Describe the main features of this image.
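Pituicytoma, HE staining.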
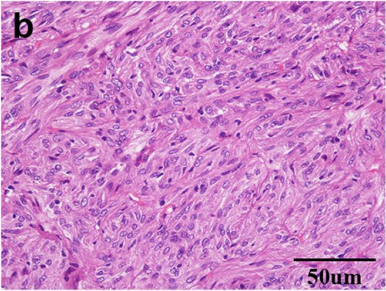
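This is a spindle cell tumor stained pink and purple. The tumor cells are spindle shaped, with oval to elongated nuclei that have fine, evenly spread chromatin, and plenty of pink cytoplasm. The borders between neighbouring cells are hard to make out, so the cytoplasm seems to run together. The cells are densely packed and lie in streams and bundles that cross and interweave with one another. Nuclei look fairly uniform in size, without striking pleomorphism.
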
